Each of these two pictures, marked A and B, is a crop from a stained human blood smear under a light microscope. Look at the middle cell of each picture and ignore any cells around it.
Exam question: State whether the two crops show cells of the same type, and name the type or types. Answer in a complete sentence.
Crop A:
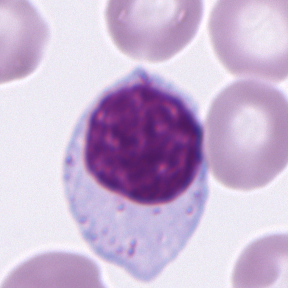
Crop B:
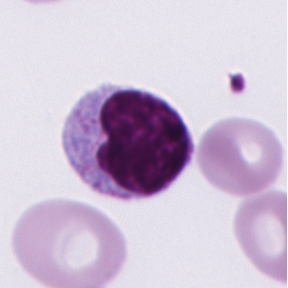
Yes, large granular lymphocytes are the cells shown in both crops.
